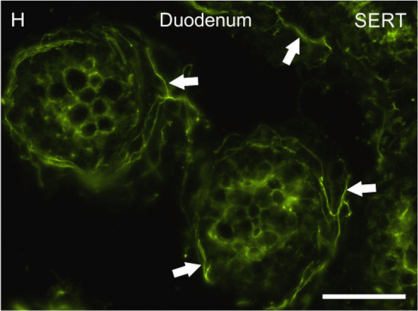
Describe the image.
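Thin, wavy, beaded green fibres, nerve processes, run around the outside of both crypts and trail off into the surrounding connective tissue. Within the crypts, green outlines mark the borders of the epithelial cells, giving a honeycomb look near the lumen. The space between the two crypts is largely dark, with only a few fibres crossing it.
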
